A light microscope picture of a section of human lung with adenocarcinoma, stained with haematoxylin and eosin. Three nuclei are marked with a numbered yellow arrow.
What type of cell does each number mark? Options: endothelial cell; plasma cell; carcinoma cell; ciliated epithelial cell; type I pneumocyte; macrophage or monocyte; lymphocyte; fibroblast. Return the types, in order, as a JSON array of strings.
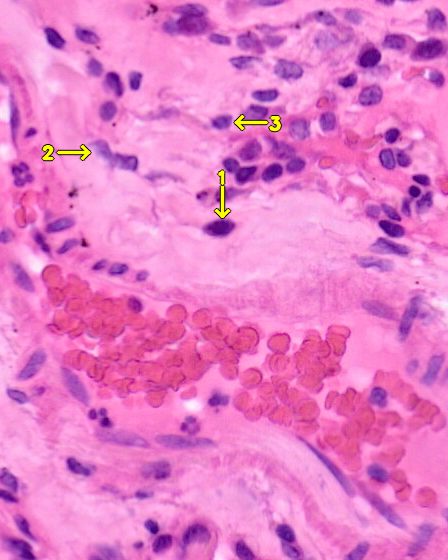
["plasma cell", "fibroblast", "lymphocyte"]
